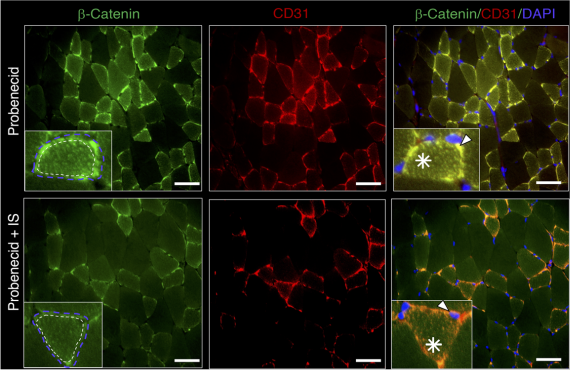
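Red capillaries lie along the borders between fibres, with small blue nuclei at the fibre edges. The insets enlarge a single myocyte with capillaries at its periphery, traced by dotted lines.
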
